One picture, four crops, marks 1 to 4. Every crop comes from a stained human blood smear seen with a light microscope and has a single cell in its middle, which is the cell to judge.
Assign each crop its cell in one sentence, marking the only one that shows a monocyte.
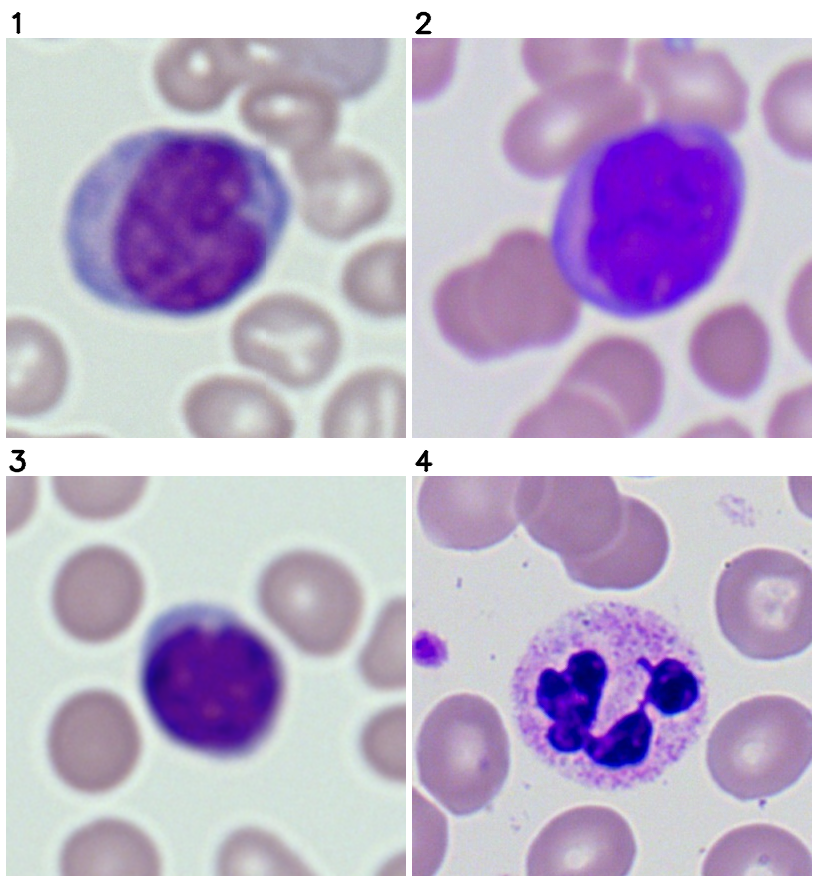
So crop 1 shows a monocyte, while crop 2 is a myeloblast, crop 3 is a lymphocyte and crop 4 is a segmented neutrophil.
